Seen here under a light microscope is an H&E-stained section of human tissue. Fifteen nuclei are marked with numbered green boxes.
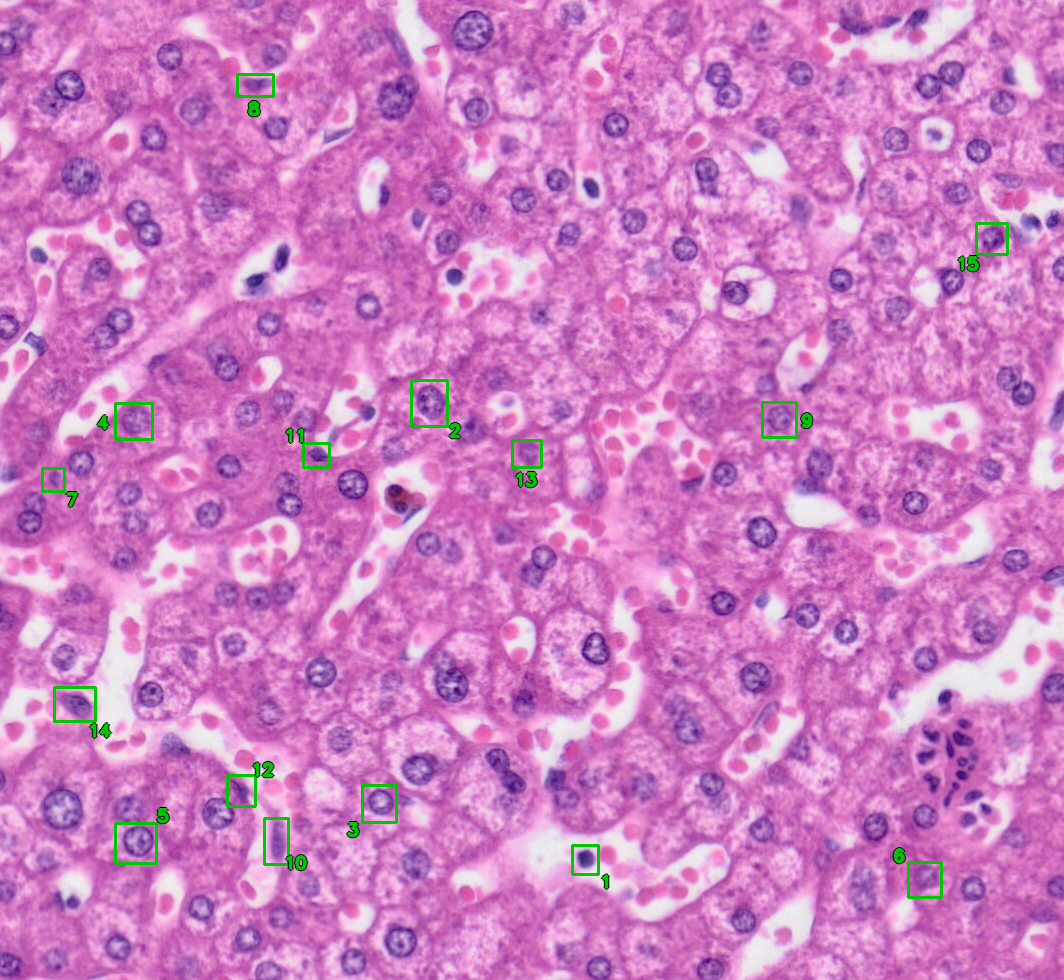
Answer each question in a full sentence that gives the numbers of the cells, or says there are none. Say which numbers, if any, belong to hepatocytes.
The cells numbered 2, 3, 4, 5, 6, 9, 13 and 15 are, by type, hepatocytes.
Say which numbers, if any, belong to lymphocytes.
The numbered cells include exactly one that is a lymphocyte, which is cell 1.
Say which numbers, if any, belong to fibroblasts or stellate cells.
The cells to which the numbers 7, 11 and 12 refer are fibroblasts or stellate cells.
